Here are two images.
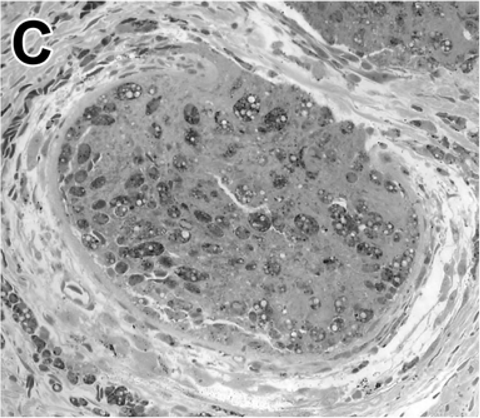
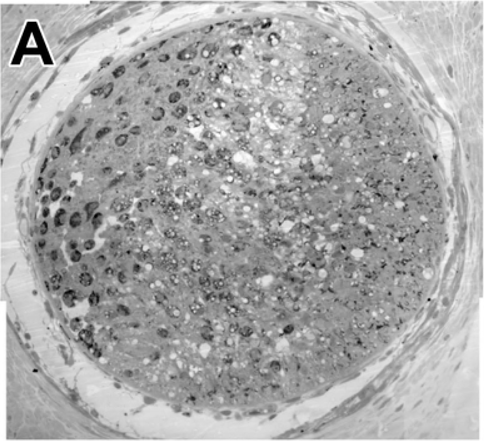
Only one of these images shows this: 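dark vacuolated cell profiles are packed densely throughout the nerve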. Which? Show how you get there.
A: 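First image: dark vacuolated profiles fill most of the nerve cross-section.
The first image.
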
